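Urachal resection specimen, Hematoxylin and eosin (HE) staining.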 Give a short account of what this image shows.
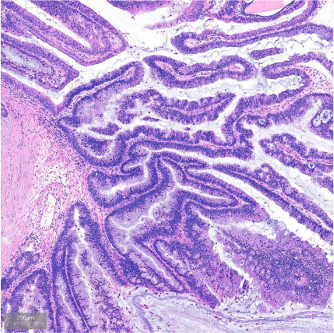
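This is an adenocarcinoma component forming long, branching and folded glands lined by tall columnar epithelial cells with elongated, crowded, stratified nuclei. Pale bluish mucinous material fills the lumina and surrounds the glands, and a band of pink fibrous stroma runs along one side.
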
